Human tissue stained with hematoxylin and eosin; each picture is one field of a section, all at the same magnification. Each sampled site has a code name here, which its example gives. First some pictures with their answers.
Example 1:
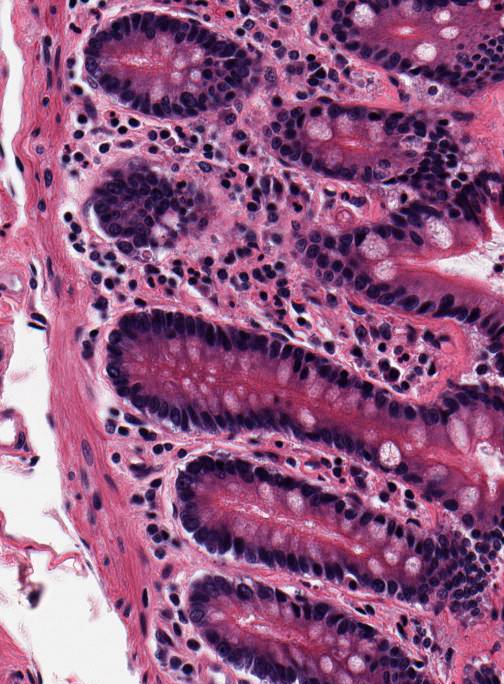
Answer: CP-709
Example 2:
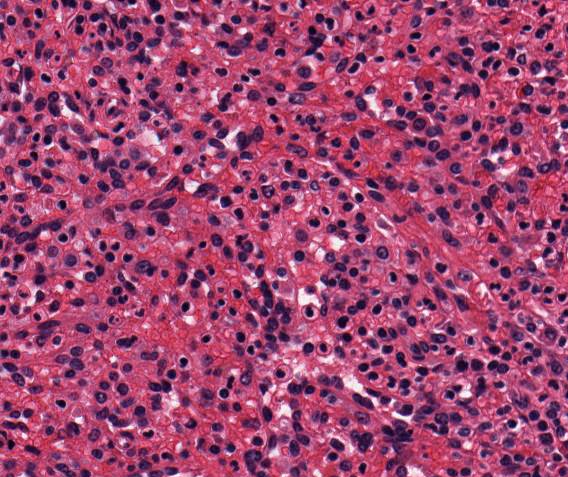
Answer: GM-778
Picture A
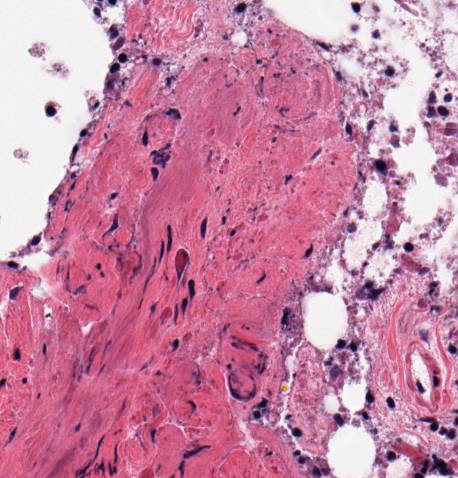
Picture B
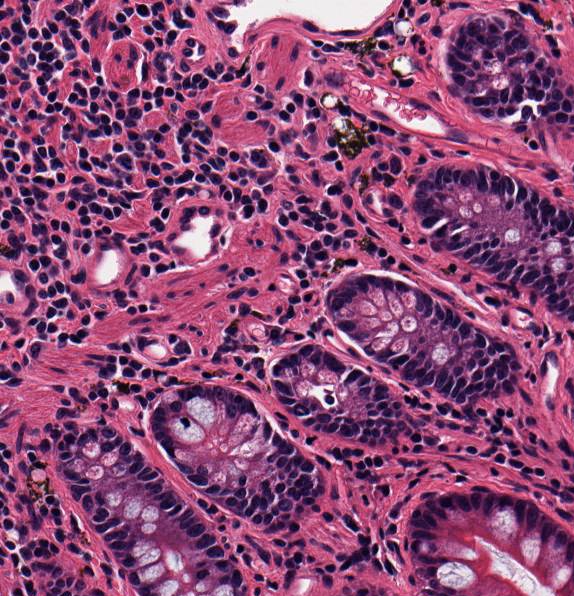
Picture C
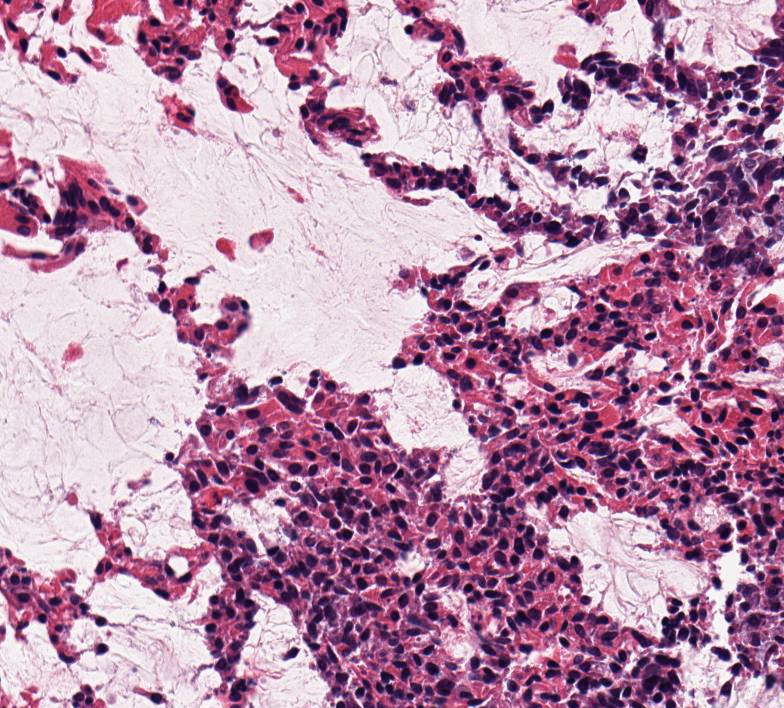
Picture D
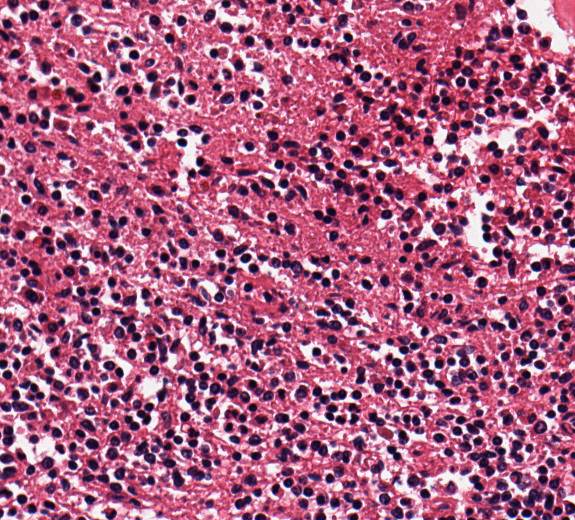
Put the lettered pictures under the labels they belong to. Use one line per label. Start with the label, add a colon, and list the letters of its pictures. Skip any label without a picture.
CP-709: A, B, C
GM-778: D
